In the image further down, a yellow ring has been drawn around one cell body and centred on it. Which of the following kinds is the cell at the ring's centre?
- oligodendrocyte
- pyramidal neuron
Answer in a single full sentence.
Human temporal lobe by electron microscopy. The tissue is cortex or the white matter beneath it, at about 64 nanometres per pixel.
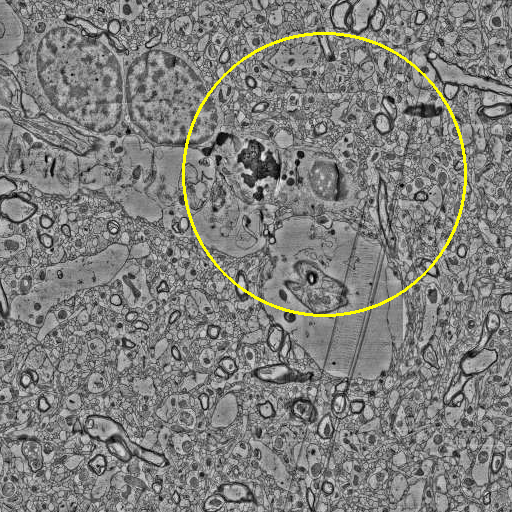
In the picture, the cell sitting at the centre of the yellow ring is an oligodendrocyte.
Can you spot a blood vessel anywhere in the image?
Yes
